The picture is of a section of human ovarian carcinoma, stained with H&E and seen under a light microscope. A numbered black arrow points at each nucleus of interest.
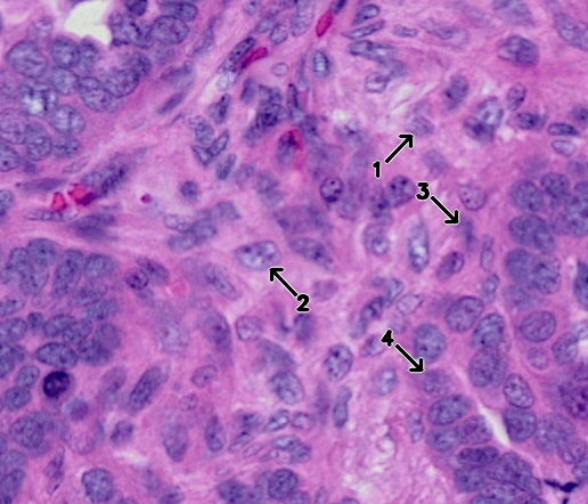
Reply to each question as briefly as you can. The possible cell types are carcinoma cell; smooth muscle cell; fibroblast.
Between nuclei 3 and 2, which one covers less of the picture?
3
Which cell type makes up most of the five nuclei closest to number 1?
fibroblast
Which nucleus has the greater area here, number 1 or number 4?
4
